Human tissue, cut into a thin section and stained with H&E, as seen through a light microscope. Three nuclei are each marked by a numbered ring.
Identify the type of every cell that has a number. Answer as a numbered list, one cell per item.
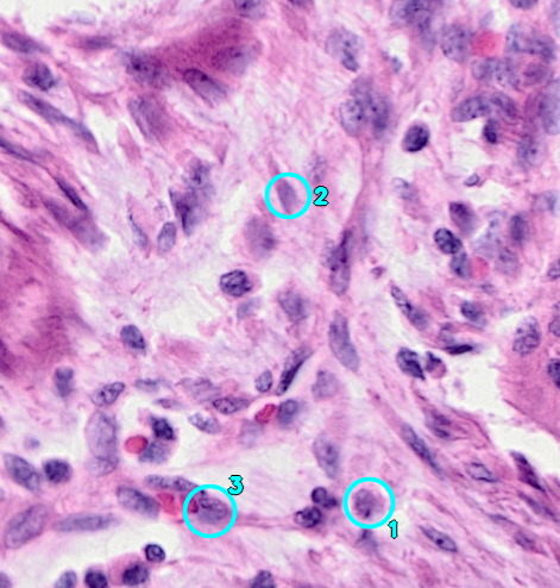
1. macrophage or monocyte
2. fibroblast
3. endothelial cell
